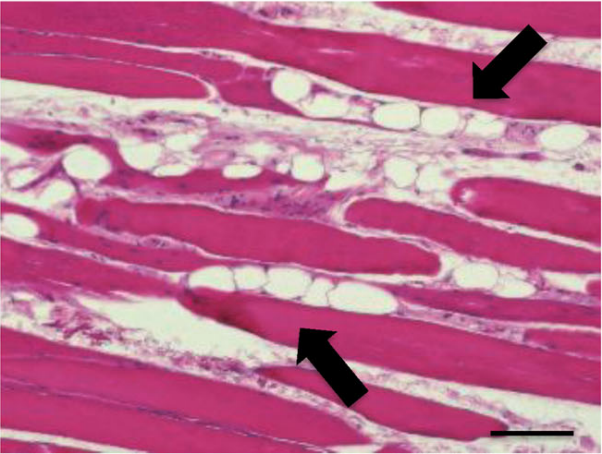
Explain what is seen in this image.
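Skeletal muscle in longitudinal section, with elongated, evenly pink muscle fibres separated by widened spaces of loose, pale connective tissue. Within these spaces lie rows and clusters of round adipocytes that appear as clear, empty vacuoles with thin rims. Scattered purple nuclei lie in the interstitial tissue.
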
